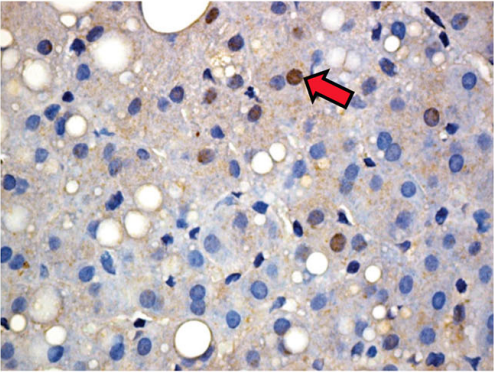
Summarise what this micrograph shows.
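This is liver tissue made of sheets of polygonal hepatocytes with pale, finely brown-tinged cytoplasm and round, mostly blue nuclei. Only a few hepatocyte nuclei are dark brown, one of them flagged by an arrow. Clear round fat vacuoles are present but are fewer and mostly small compared with a heavily fatty liver, so the cords of hepatocytes are easier to follow. Scattered small, elongated, dark blue nuclei between the hepatocytes belong to cells lining the sinusoids.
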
